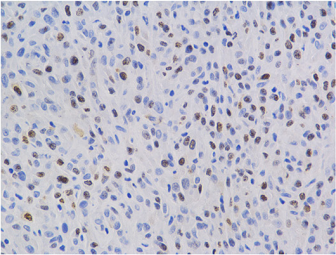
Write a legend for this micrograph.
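A densely cellular tumor consists of closely packed cells with oval to elongated nuclei and scant pale cytoplasm. Many of the nuclei are stained brown while the rest are blue, and the brown nuclei are scattered throughout the field rather than clustered.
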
